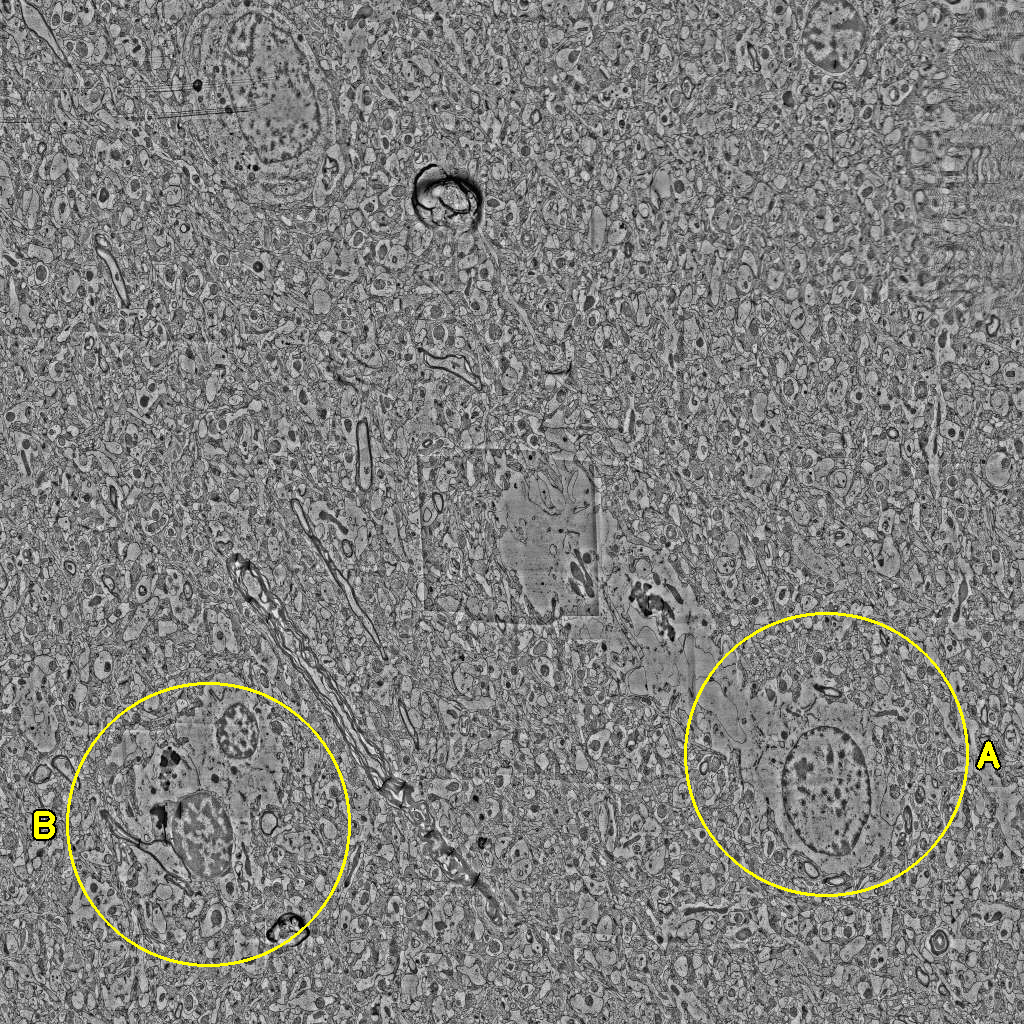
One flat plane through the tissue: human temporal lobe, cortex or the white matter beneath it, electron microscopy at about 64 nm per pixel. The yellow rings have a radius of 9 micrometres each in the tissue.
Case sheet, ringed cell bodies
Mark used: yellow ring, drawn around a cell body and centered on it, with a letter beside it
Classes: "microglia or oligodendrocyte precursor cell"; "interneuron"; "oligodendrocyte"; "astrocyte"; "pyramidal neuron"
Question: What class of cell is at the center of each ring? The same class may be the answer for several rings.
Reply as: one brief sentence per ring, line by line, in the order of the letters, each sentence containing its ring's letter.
Ring A has an astrocyte at its center.
Ring B has an oligodendrocyte at its center.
